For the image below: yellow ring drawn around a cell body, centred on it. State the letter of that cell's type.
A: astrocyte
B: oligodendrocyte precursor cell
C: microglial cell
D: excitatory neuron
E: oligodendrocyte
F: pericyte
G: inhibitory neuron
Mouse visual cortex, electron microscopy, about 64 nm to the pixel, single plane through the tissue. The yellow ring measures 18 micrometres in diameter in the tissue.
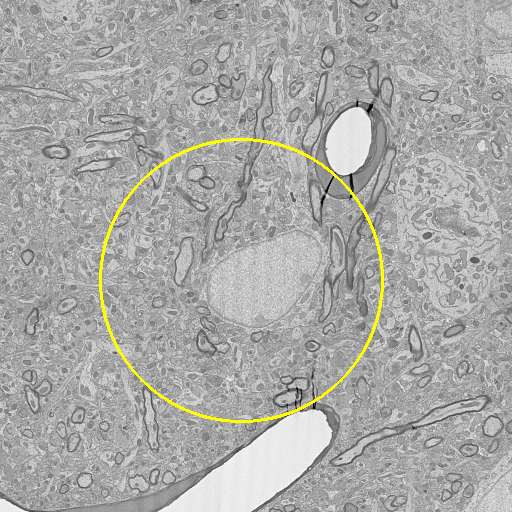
A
